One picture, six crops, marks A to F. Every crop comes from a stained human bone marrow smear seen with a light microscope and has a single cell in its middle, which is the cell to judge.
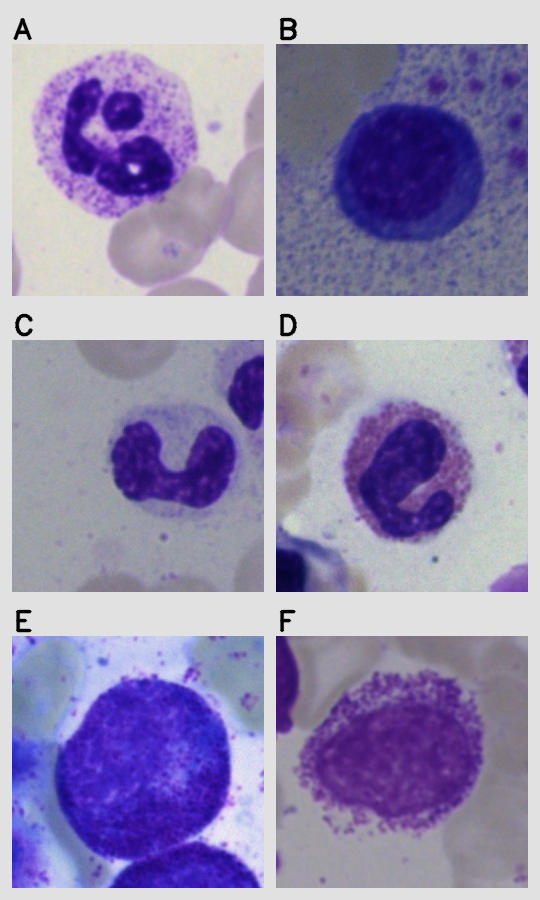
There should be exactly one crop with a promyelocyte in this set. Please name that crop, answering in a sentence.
Of the crops shown, crop E depicts a promyelocyte.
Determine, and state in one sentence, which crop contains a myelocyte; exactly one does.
Of the crops shown, crop F depicts a myelocyte.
